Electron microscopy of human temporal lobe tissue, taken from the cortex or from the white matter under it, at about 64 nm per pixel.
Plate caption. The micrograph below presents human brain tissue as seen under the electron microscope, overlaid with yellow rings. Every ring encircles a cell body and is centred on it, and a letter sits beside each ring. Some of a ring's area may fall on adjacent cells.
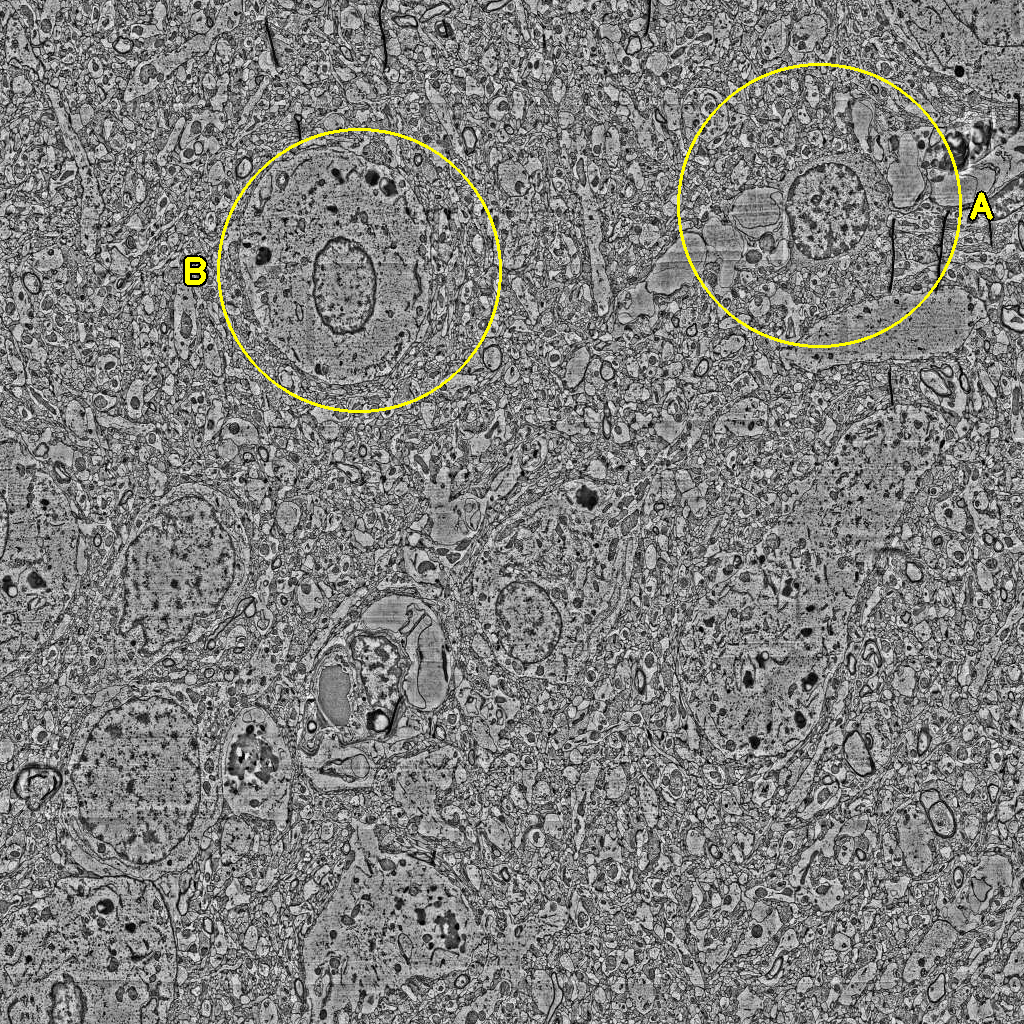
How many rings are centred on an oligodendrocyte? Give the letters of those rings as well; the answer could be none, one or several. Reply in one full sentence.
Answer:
A single yellow ring has an oligodendrocyte at its centre, and it carries the letter A.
